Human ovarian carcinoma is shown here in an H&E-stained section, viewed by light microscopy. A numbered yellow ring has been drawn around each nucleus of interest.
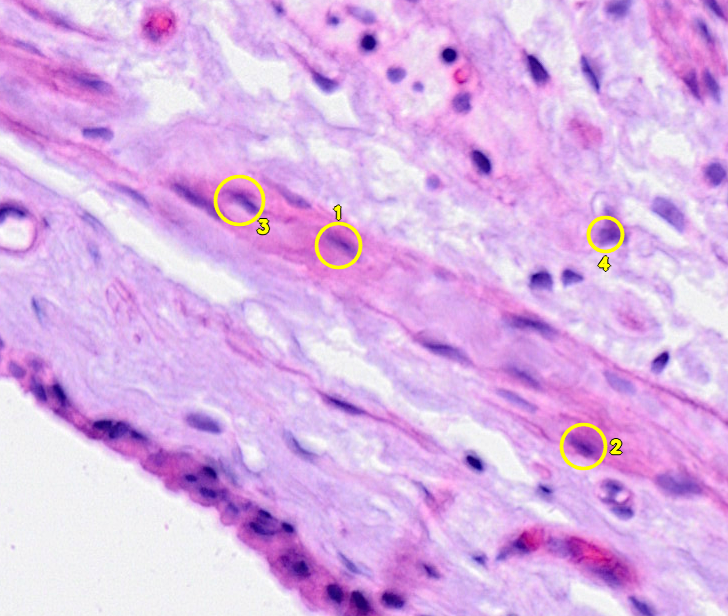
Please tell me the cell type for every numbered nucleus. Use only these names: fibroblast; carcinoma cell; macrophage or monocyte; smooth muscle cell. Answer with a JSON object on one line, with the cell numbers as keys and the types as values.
{"1": "smooth muscle cell", "2": "smooth muscle cell", "3": "smooth muscle cell", "4": "fibroblast"}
